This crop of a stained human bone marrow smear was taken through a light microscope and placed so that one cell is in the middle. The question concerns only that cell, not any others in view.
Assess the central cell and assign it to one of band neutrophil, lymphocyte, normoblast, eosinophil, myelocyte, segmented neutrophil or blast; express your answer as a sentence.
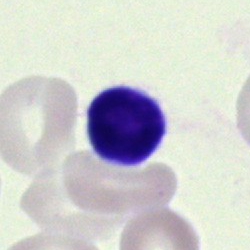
The cell of interest, in the center, is a lymphocyte.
